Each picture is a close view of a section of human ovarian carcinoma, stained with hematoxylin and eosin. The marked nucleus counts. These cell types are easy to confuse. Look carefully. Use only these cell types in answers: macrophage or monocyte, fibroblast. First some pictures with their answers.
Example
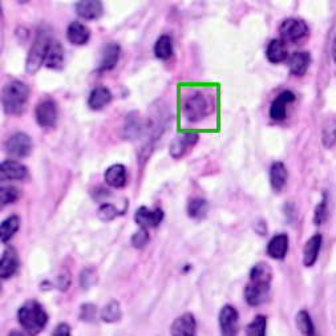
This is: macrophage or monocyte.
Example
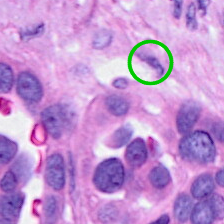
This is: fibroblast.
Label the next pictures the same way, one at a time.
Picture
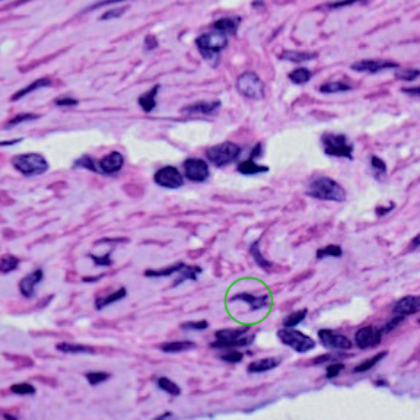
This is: fibroblast.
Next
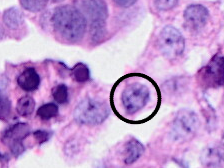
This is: macrophage or monocyte.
